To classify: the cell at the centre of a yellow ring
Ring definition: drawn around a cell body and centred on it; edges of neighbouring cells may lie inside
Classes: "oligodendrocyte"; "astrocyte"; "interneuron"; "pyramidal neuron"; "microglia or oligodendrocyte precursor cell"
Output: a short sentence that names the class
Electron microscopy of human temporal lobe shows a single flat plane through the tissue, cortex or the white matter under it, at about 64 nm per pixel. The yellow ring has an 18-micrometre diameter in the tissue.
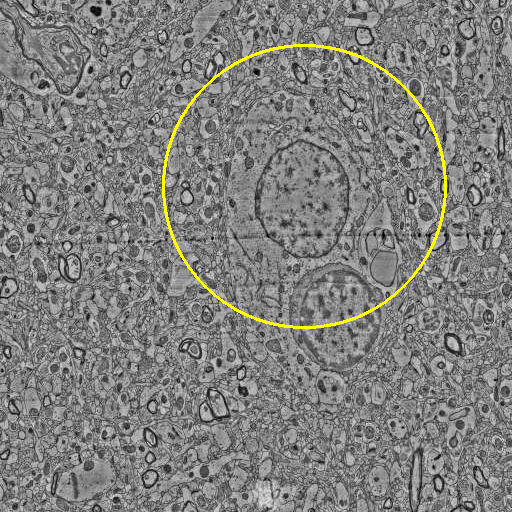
The ringed cell is a pyramidal neuron.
